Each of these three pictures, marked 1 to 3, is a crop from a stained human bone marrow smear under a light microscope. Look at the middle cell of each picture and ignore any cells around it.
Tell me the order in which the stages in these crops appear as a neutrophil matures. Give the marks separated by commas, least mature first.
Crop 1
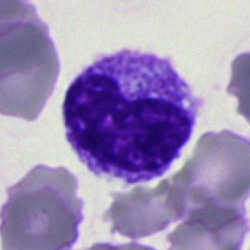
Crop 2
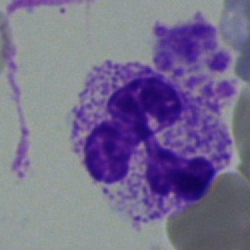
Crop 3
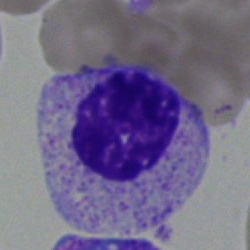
3, 1, 2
